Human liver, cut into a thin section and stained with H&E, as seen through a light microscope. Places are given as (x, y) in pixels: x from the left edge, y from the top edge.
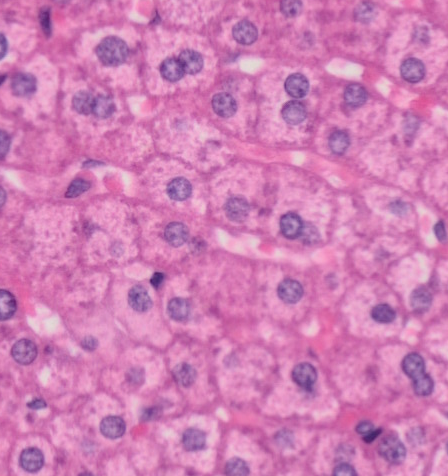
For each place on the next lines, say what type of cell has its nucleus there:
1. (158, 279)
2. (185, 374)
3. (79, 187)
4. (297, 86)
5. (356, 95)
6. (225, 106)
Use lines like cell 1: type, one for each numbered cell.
cell 1: fibroblast or stellate cell
cell 2: hepatocyte
cell 3: Kupffer cell
cell 4: hepatocyte
cell 5: hepatocyte
cell 6: hepatocyte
